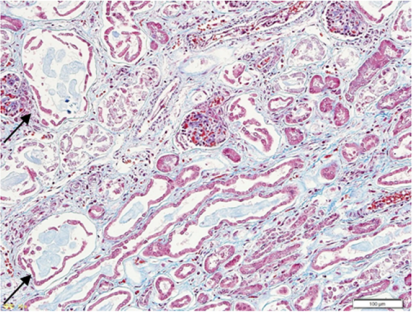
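This is kidney tissue in which renal tubules are cut in many planes. The tubules are lined by epithelial cells with red-staining cytoplasm and small dark nuclei. Between the tubules the interstitium contains blue-staining fibrous tissue. Rounded cellular glomerular tufts lie scattered among the tubules.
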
